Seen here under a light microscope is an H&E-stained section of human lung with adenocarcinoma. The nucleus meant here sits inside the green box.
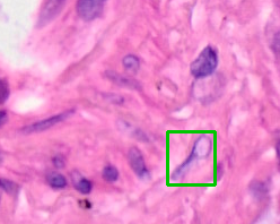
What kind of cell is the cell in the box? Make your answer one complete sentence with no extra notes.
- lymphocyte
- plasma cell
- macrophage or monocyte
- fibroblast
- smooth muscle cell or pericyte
Recorded by type, the cell in the box is a fibroblast.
